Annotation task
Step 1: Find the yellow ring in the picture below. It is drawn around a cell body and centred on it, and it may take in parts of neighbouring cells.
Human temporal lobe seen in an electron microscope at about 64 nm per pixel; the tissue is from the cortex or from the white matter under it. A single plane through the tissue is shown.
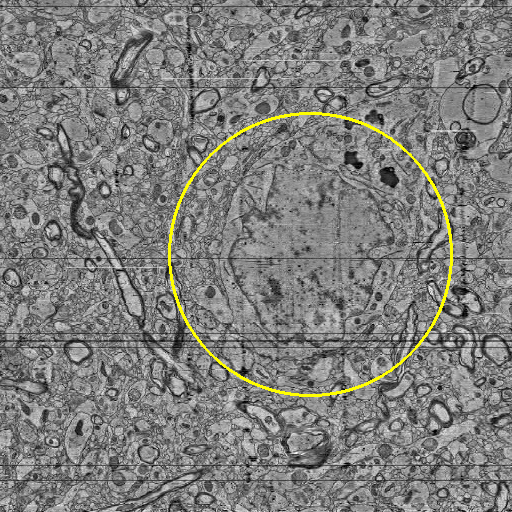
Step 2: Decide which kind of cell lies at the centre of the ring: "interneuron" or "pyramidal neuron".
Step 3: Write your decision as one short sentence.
The kind of cell at the ring's centre is an interneuron.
